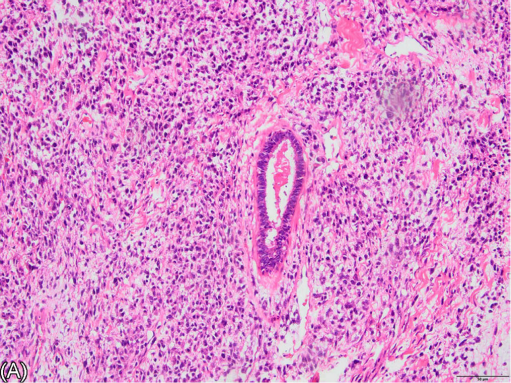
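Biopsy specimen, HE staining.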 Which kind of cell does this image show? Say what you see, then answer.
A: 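Spindle cells. These cells lie in a diffuse sheet around the single duct.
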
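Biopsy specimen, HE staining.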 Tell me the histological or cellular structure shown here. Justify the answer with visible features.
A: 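Glandular ducts. A single elongated tube lined by a columnar epithelium lies in the centre. The tube has an open lumen. It is surrounded by densely packed cells.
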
